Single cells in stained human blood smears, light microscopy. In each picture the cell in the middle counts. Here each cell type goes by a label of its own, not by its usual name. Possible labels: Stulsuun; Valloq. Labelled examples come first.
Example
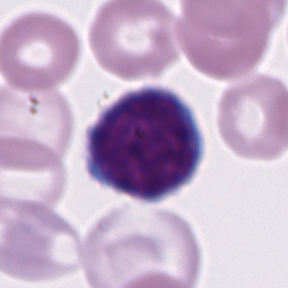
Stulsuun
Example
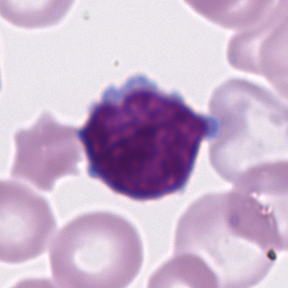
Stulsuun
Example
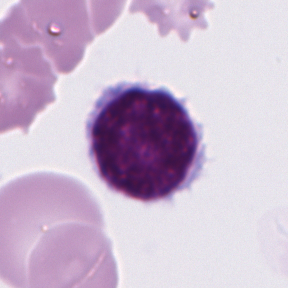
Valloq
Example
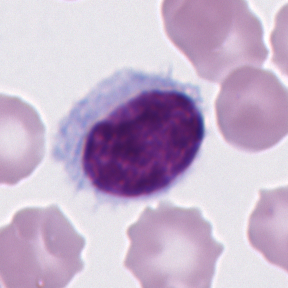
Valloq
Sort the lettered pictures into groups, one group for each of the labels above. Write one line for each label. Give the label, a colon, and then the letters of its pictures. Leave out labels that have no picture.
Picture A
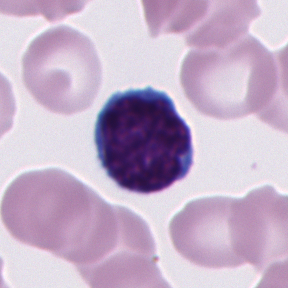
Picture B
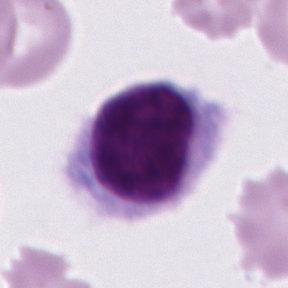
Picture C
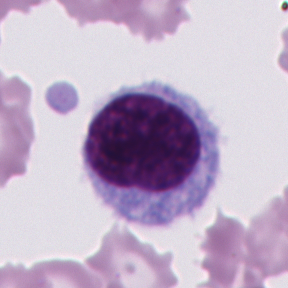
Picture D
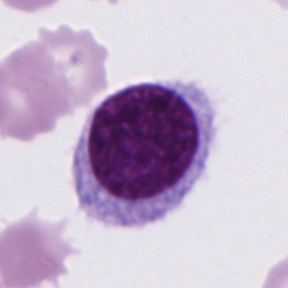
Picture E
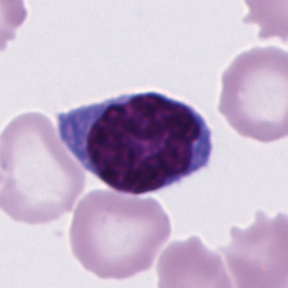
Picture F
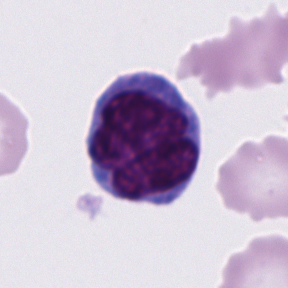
Stulsuun: A, E, F
Valloq: B, C, D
